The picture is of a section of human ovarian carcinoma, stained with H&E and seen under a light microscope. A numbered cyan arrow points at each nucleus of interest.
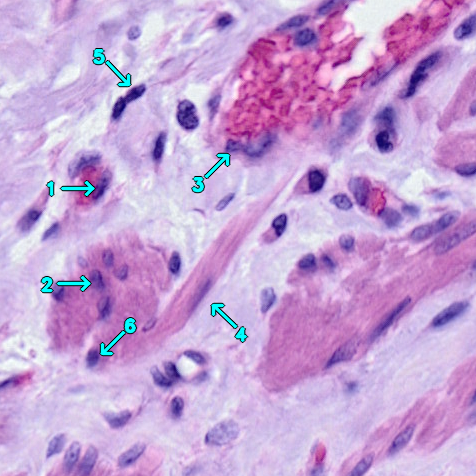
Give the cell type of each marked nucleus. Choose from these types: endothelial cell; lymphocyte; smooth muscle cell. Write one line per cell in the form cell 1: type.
cell 1: endothelial cell
cell 2: smooth muscle cell
cell 3: endothelial cell
cell 4: smooth muscle cell
cell 5: lymphocyte
cell 6: smooth muscle cell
